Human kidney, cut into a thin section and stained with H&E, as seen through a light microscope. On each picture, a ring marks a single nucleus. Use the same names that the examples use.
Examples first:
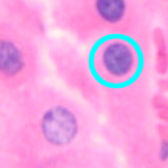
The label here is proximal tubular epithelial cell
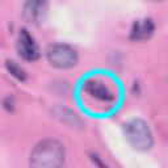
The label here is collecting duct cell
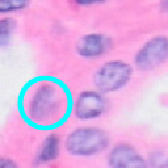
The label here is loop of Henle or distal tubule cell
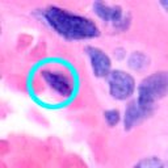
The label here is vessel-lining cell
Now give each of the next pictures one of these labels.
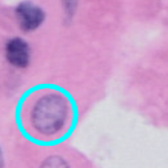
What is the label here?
proximal tubular epithelial cell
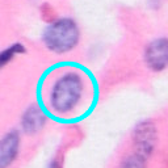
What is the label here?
collecting duct cell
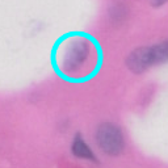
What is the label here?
loop of Henle or distal tubule cell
